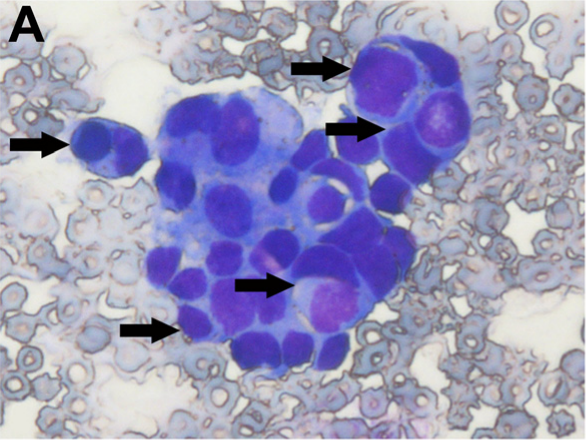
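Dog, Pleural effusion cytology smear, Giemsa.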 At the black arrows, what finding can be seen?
Cellular internalization.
